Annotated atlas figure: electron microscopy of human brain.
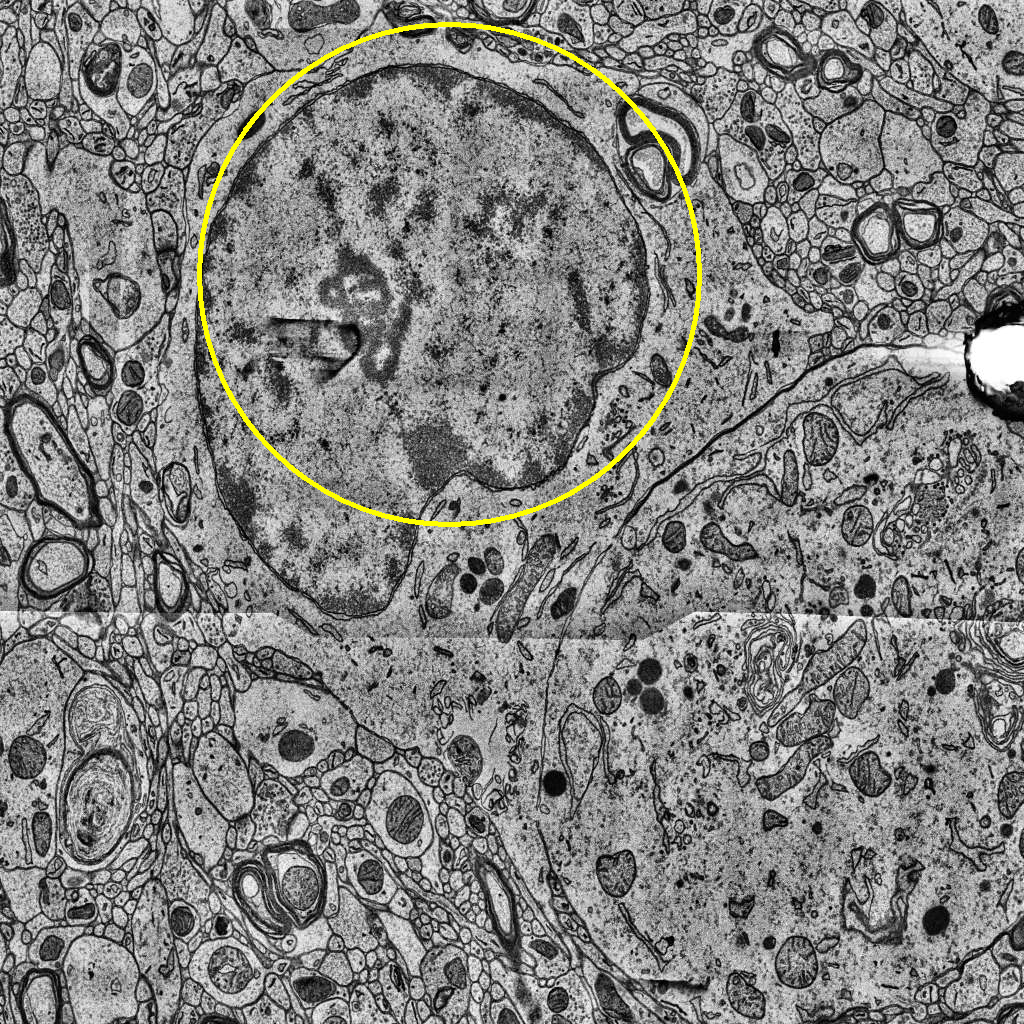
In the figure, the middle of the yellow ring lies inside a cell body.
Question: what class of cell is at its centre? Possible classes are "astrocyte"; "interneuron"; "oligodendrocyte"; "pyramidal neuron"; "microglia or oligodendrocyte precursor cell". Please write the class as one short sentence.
The yellow ring's centre lies in a microglial cell or oligodendrocyte precursor cell.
